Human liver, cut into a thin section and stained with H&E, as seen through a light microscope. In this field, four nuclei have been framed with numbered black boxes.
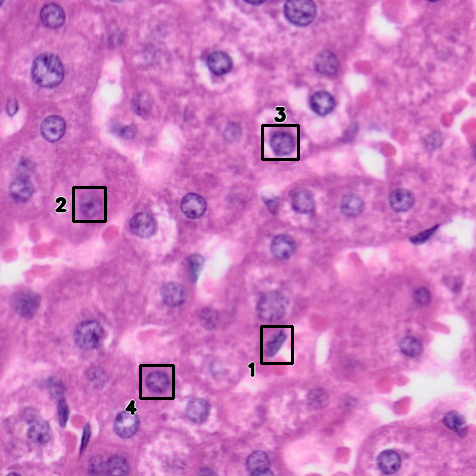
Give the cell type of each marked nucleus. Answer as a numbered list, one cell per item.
1. endothelial cell
2. hepatocyte
3. hepatocyte
4. hepatocyte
